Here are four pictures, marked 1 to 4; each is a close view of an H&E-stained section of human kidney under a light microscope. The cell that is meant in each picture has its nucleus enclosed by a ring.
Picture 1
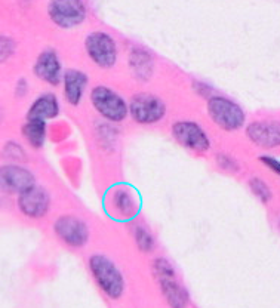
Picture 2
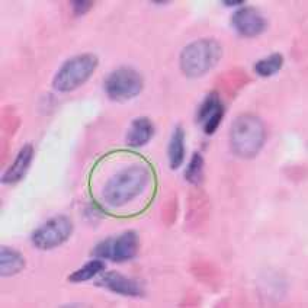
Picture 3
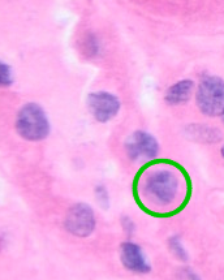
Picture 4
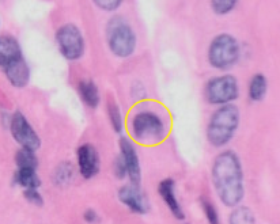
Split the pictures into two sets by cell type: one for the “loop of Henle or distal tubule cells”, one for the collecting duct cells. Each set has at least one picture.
1: collecting duct cell
2: collecting duct cell
3: loop of Henle or distal tubule cell
4: collecting duct cell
